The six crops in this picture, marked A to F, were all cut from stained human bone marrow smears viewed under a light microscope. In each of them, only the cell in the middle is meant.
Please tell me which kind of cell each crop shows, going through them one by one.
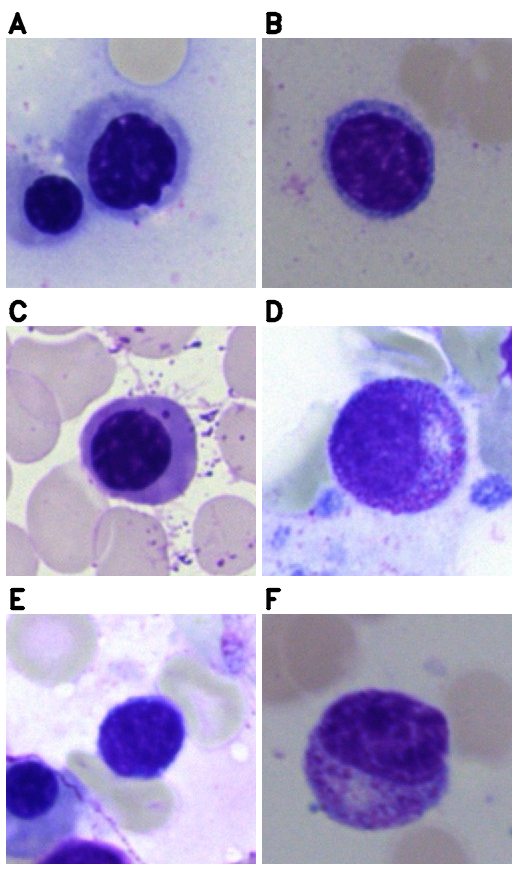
A: erythroblast
B: lymphocyte
C: erythroblast
D: myelocyte
E: lymphocyte
F: myelocyte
